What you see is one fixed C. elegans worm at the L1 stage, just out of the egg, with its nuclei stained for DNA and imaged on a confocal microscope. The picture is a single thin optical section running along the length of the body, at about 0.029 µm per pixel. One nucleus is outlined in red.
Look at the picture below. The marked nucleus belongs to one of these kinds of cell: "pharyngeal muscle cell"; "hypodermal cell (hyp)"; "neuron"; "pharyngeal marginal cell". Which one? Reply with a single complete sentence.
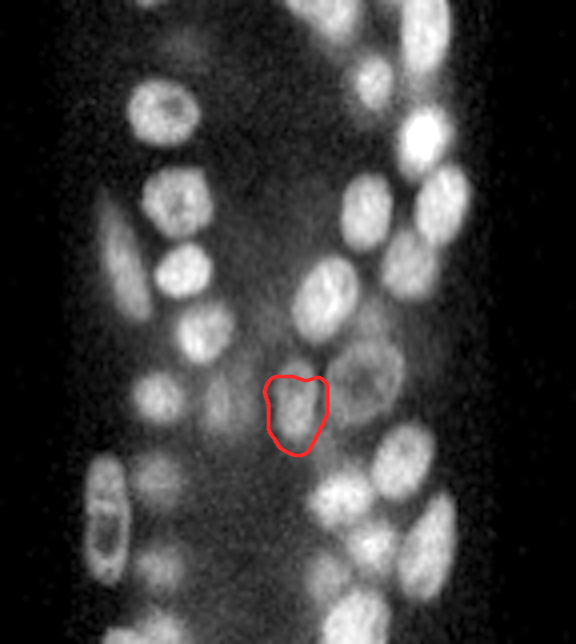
The nucleus comes from a pharyngeal marginal cell.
